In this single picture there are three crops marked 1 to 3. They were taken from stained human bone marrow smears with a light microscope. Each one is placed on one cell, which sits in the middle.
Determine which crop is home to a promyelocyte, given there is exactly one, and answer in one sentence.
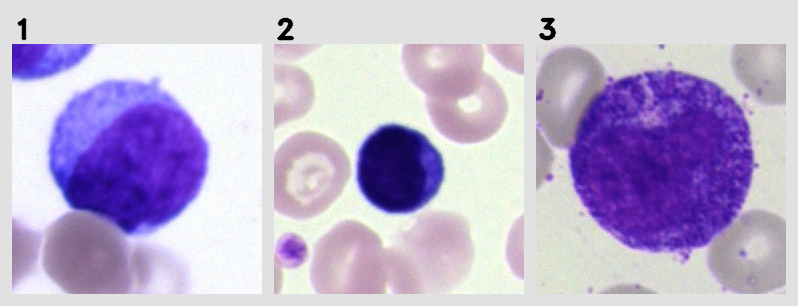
The crop marked 3 is the one in which a promyelocyte is shown.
